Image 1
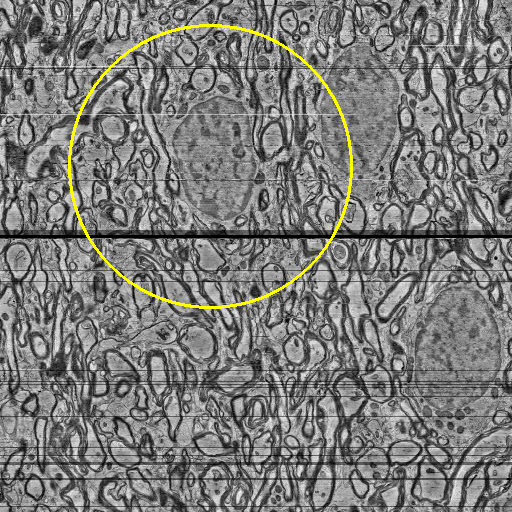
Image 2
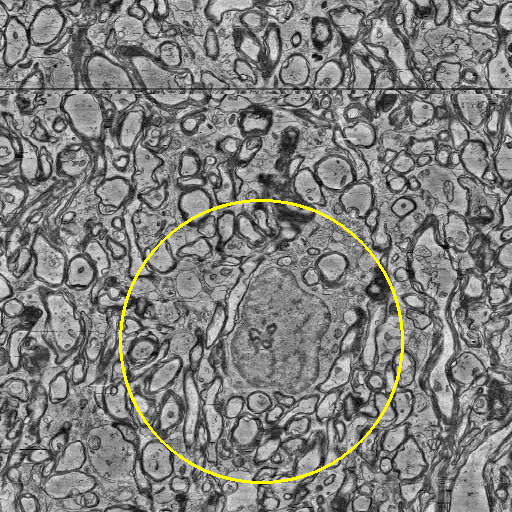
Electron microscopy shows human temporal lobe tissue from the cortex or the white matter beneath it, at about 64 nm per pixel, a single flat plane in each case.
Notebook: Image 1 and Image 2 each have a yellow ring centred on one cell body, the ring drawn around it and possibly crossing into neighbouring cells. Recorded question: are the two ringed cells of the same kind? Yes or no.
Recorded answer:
yes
